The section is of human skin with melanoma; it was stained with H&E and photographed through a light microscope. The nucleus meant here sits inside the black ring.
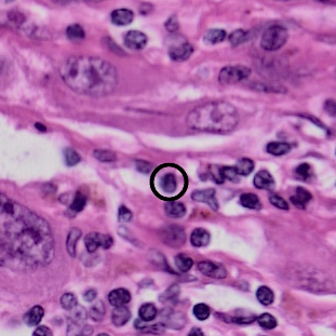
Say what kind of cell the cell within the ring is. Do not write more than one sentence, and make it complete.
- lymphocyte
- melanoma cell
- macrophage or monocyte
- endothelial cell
The cell type represented by the cell within the ring is that of a lymphocyte.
